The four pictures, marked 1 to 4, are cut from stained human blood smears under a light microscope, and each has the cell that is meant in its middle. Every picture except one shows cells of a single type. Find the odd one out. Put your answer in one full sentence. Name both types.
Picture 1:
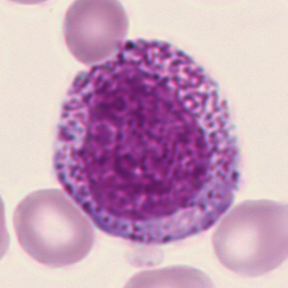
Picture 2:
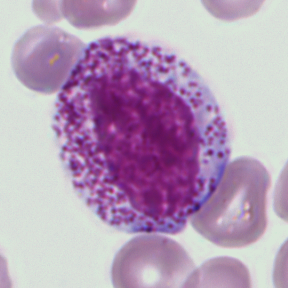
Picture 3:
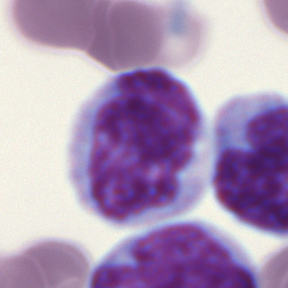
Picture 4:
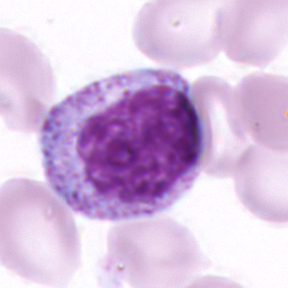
Unlike the rest, which show myelocytes, picture 3 shows a monocyte.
